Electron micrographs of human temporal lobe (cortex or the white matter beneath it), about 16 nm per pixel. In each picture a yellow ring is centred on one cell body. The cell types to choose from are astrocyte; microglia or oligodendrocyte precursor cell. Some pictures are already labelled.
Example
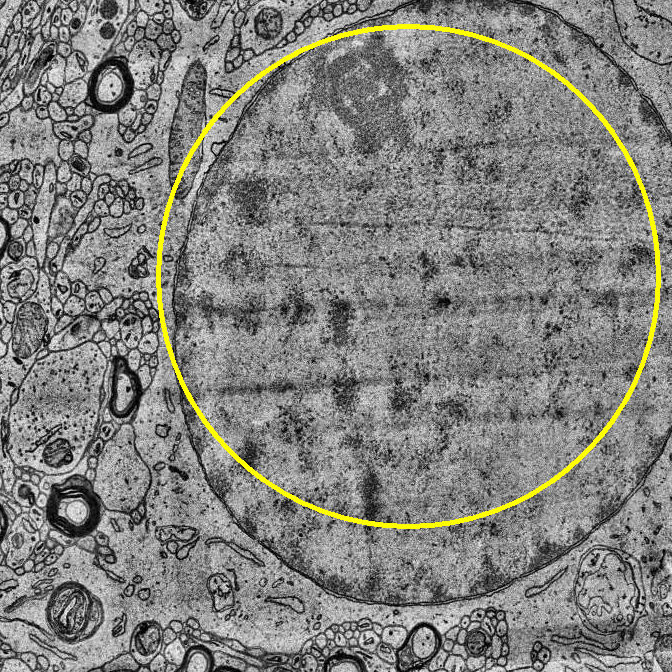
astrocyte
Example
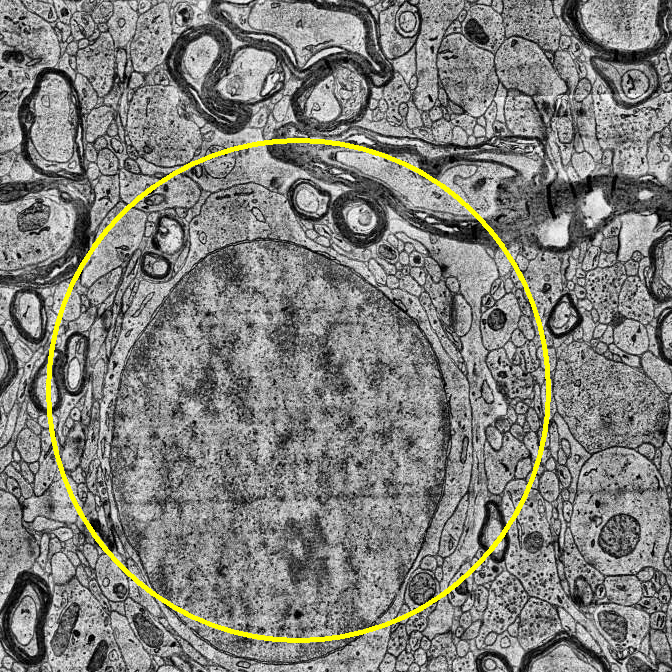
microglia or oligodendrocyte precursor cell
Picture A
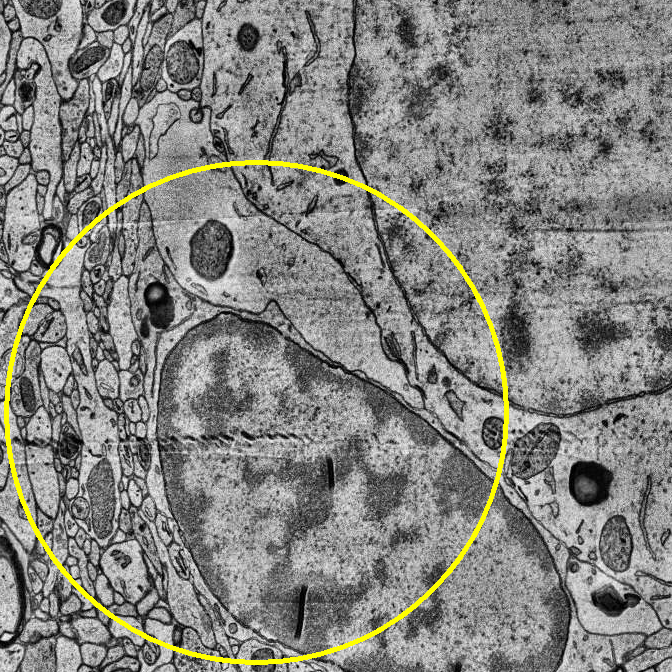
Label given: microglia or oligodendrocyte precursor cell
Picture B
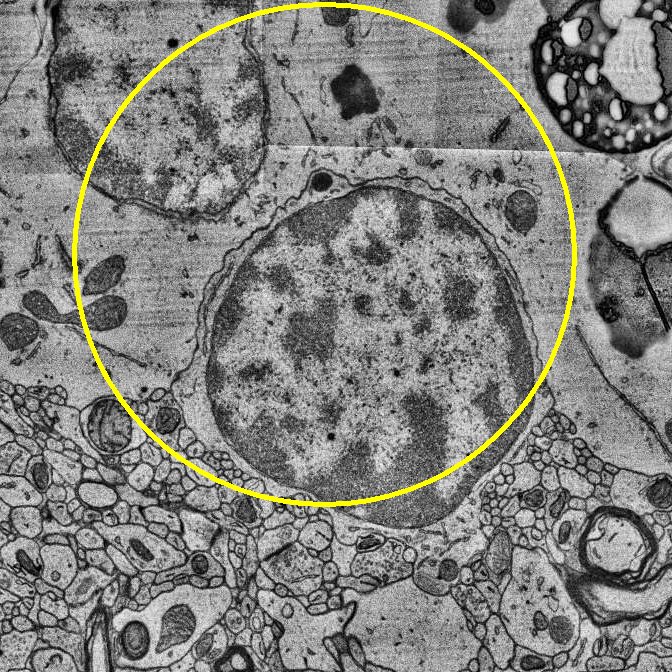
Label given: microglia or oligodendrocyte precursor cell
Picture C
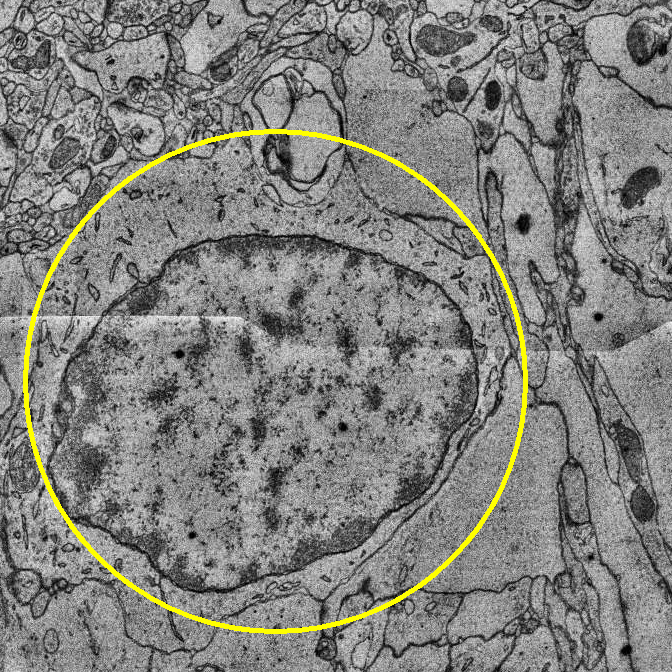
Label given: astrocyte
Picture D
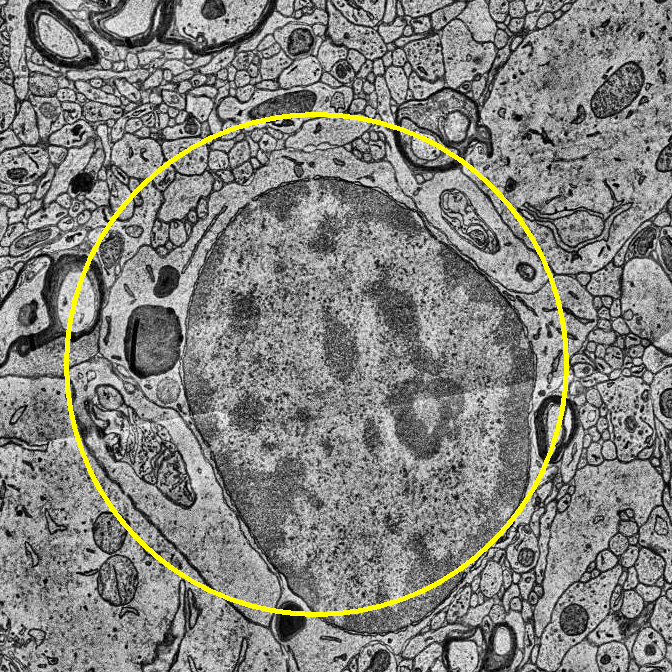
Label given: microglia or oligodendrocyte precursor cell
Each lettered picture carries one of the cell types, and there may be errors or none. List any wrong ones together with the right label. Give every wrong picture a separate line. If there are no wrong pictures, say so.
C is labelled astrocyte; correct label: microglia or oligodendrocyte precursor cell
